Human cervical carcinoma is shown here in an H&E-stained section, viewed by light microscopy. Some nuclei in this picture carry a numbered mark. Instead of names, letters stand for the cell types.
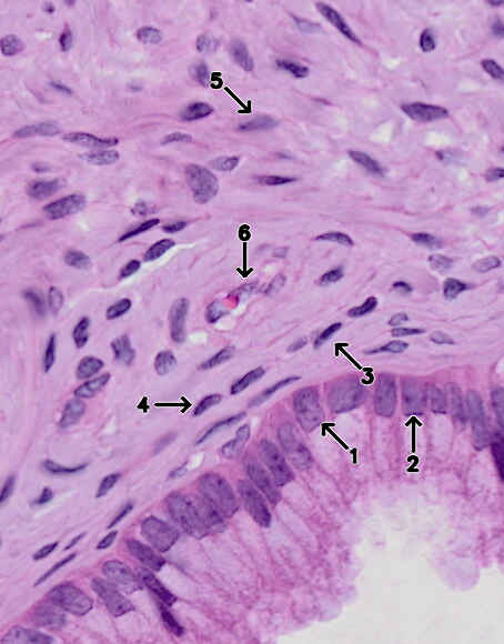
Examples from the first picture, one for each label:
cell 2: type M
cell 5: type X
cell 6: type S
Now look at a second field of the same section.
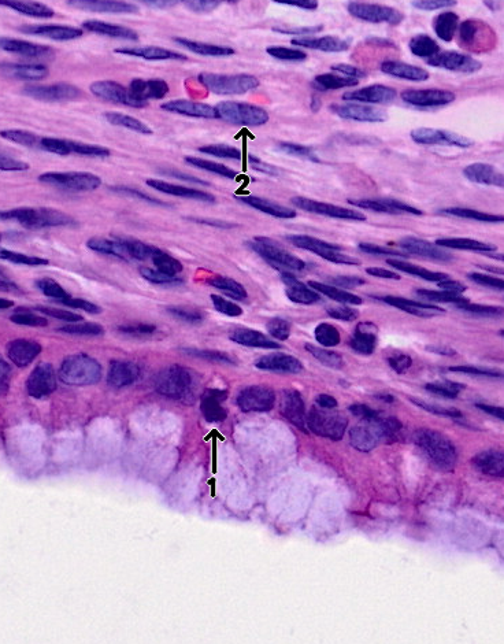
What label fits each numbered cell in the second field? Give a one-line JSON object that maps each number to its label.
{"1": "type M", "2": "type S"}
